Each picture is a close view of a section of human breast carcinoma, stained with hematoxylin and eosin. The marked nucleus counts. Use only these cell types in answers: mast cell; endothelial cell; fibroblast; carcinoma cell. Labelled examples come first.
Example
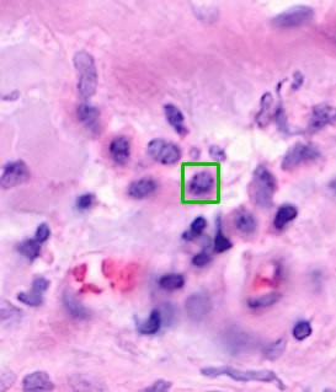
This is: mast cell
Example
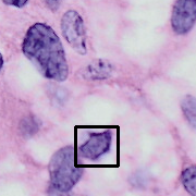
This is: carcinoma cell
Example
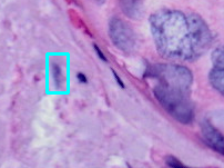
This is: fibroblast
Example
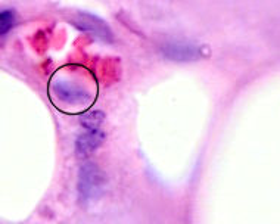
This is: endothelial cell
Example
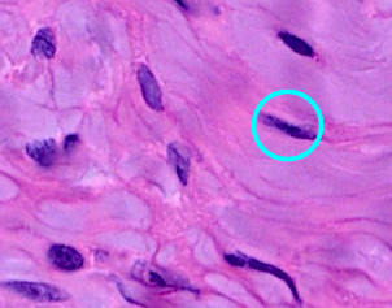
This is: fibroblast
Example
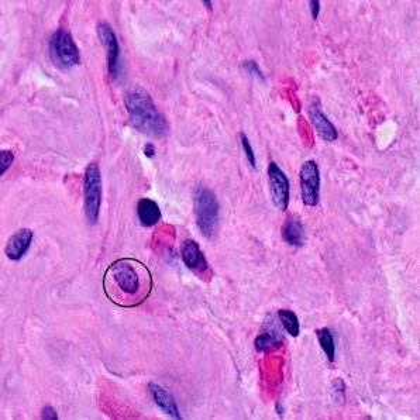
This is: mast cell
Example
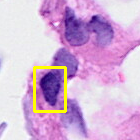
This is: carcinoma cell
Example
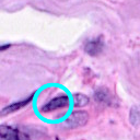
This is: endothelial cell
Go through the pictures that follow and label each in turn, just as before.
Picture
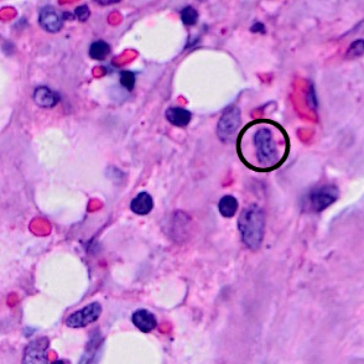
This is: mast cell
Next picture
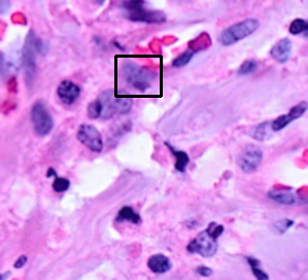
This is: endothelial cell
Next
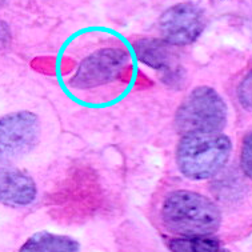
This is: endothelial cell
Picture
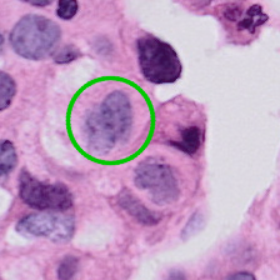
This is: carcinoma cell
